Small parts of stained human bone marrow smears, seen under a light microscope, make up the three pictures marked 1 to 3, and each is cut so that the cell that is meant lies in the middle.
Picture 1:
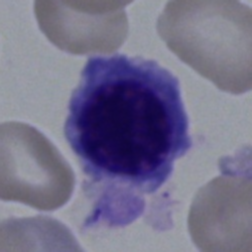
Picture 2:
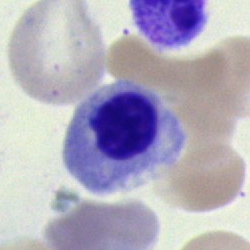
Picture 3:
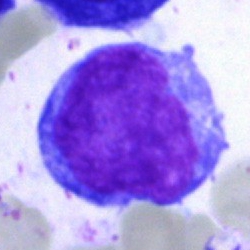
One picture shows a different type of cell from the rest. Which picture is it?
3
